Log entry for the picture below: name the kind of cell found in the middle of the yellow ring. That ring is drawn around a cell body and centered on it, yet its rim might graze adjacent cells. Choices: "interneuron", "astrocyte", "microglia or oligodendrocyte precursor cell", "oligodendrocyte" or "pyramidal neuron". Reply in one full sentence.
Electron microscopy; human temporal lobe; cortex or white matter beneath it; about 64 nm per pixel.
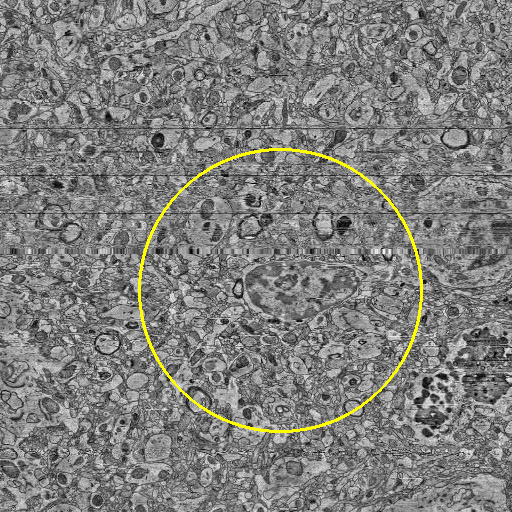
The cell in the middle of the yellow ring in this picture is a microglial cell or oligodendrocyte precursor cell.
